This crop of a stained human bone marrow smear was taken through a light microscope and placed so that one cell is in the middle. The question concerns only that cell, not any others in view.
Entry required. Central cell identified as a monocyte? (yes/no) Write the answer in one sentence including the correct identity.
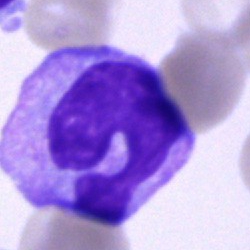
Yes, a monocyte is present in the middle of the crop.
